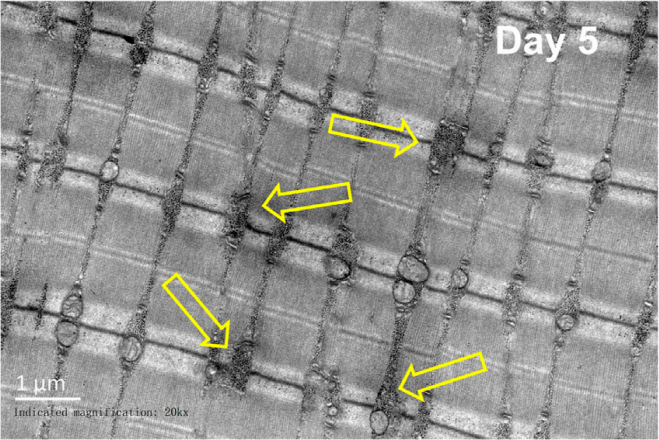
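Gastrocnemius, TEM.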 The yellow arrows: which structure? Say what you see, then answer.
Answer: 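Glycogen. The arrows point to dark, finely granular clusters between myofibrils. The clusters lie near the dark transverse lines of the sarcomeres.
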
